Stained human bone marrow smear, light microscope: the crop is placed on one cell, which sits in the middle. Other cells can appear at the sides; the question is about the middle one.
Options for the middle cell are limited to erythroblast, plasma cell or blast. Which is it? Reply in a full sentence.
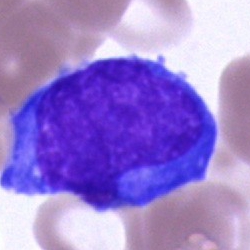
Where the crop is centred, there is a blast.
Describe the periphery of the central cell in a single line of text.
This cell does not have a smooth edge; it is ragged or extended into projections.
